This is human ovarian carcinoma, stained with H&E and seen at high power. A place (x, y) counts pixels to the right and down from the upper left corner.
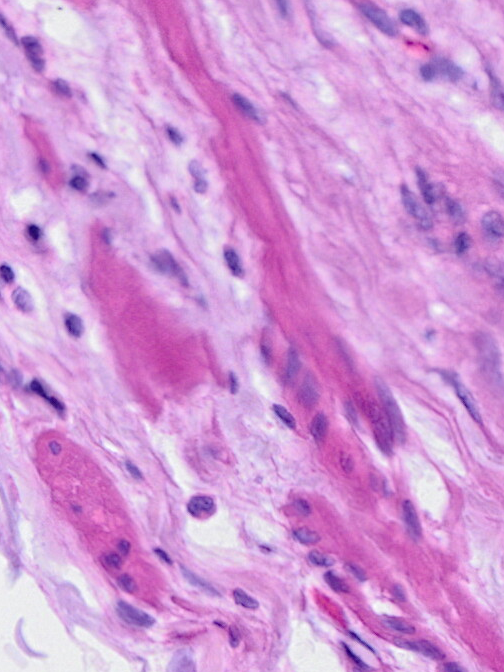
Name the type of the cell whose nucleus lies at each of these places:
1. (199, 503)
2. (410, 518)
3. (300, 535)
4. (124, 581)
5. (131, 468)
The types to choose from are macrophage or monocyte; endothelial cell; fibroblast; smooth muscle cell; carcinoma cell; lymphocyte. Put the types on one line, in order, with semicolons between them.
macrophage or monocyte; smooth muscle cell; smooth muscle cell; smooth muscle cell; macrophage or monocyte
